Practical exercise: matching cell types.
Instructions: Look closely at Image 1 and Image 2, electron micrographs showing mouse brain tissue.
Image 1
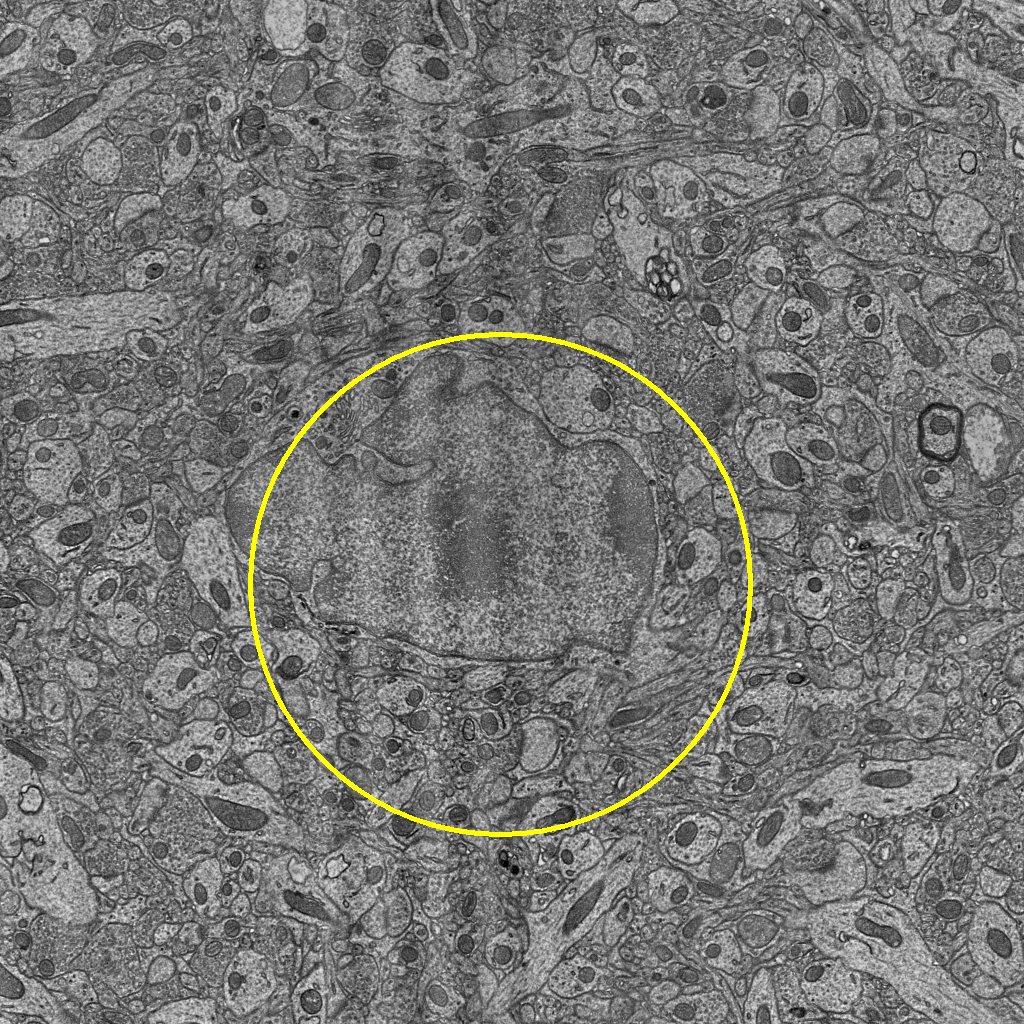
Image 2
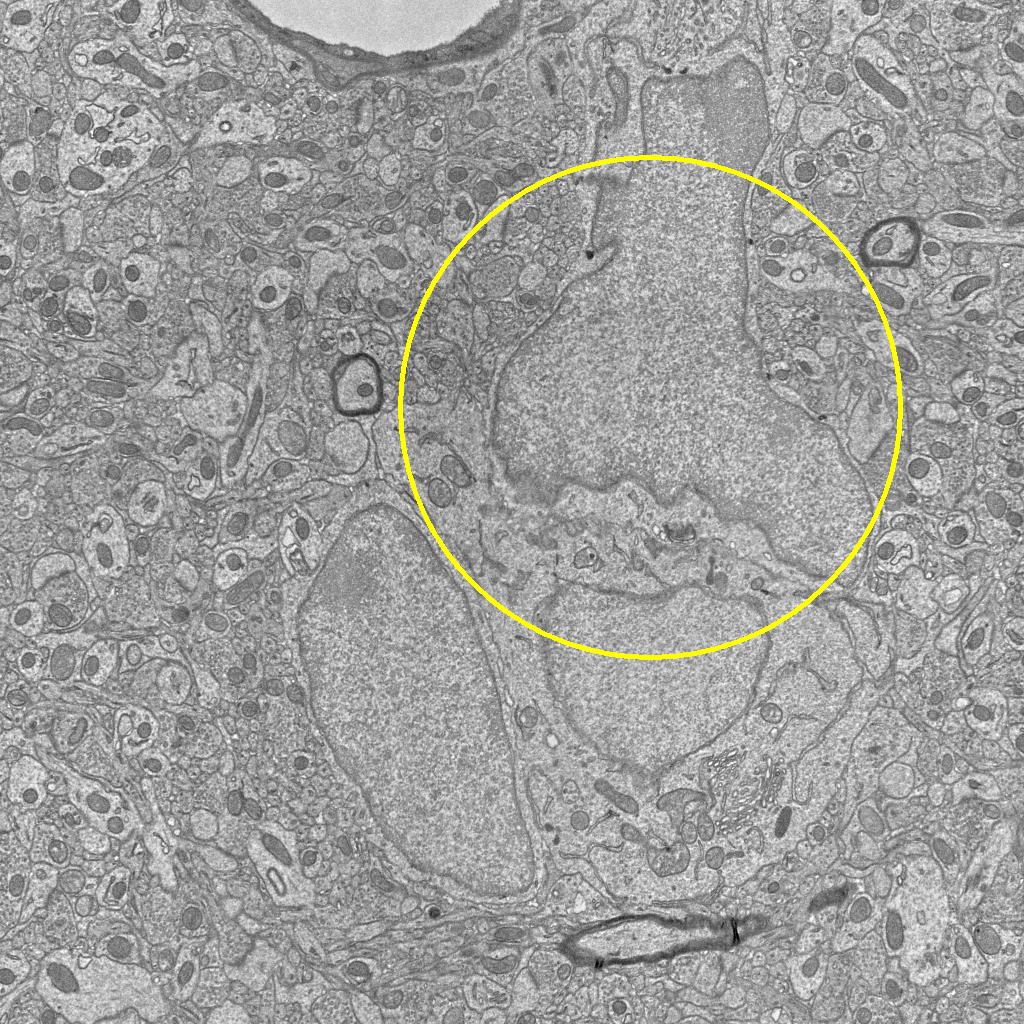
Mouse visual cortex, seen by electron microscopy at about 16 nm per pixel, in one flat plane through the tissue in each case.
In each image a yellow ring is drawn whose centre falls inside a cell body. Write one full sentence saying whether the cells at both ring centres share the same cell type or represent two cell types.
Across Image 1 and Image 2, the cells at the ring centres share the same cell type.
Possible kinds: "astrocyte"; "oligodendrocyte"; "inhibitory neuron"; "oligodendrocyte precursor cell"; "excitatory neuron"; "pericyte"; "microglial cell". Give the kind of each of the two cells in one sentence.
The cell in the first picture is an oligodendrocyte precursor cell, and so is the one in the second.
